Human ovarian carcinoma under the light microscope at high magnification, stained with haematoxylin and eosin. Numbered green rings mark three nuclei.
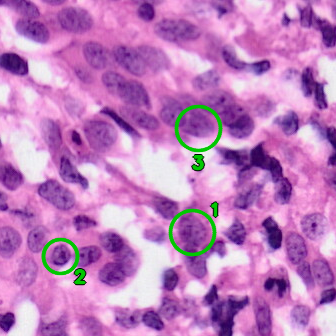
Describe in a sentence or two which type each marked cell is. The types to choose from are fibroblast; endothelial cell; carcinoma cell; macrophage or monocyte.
Cell 1 is a carcinoma cell, cell 2 is a macrophage or monocyte and cell 3 is a carcinoma cell.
